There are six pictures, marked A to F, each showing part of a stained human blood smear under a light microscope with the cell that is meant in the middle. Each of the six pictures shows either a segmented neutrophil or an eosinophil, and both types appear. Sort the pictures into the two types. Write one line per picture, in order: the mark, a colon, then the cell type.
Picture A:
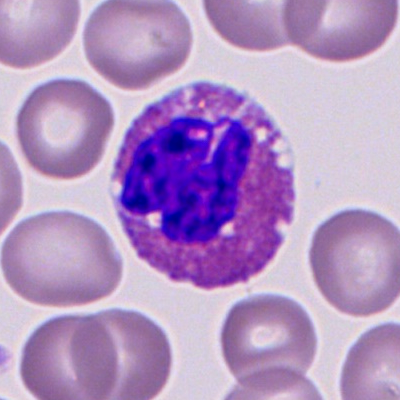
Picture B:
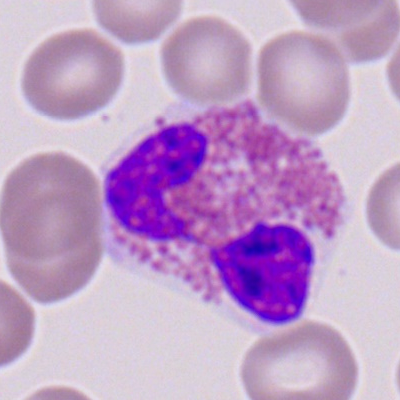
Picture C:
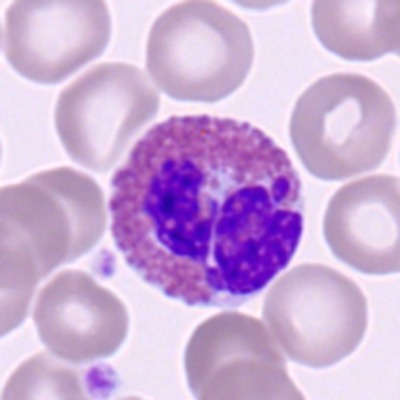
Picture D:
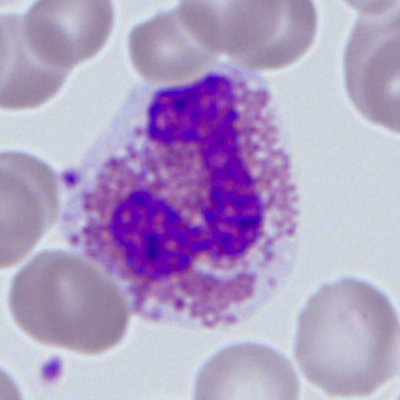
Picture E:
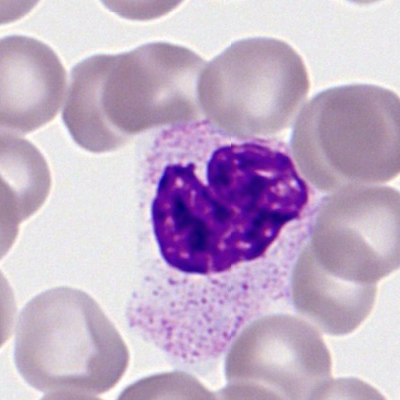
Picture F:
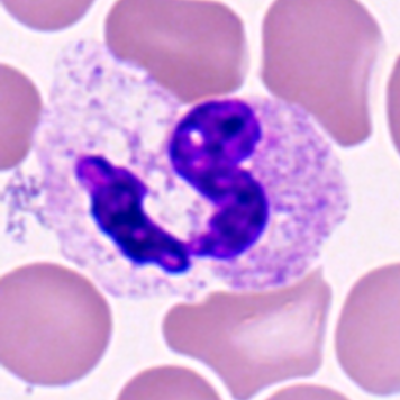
A: eosinophil
B: eosinophil
C: eosinophil
D: eosinophil
E: segmented neutrophil
F: segmented neutrophil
